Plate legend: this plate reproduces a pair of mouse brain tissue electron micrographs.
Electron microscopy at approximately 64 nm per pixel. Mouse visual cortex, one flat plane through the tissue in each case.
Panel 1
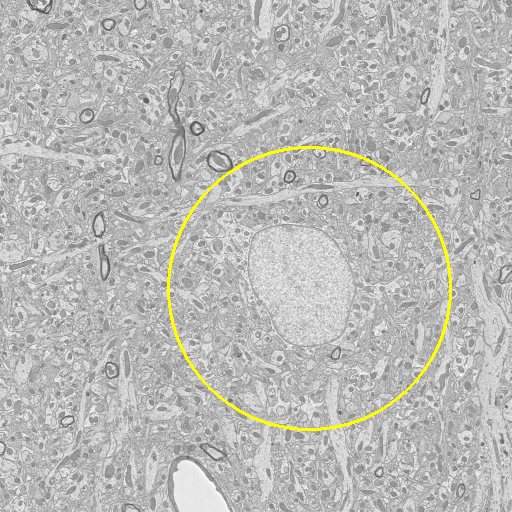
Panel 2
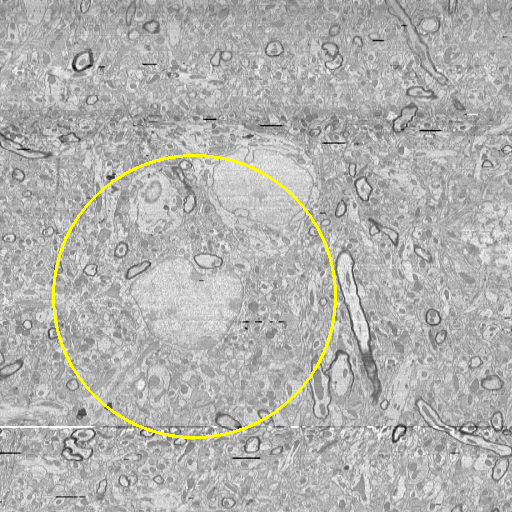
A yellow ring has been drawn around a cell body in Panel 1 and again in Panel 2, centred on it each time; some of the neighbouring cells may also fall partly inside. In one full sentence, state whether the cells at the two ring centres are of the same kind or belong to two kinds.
The ring-centred cells of Panel 1 and Panel 2 are of the same kind.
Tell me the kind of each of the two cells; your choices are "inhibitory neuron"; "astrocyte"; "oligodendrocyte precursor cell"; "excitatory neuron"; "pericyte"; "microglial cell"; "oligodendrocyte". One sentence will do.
Each of the ringed cells, first and second, is an astrocyte.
